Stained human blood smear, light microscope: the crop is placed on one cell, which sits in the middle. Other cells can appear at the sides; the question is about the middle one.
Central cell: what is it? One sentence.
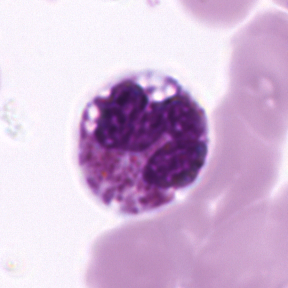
The single cell at the center of the crop is an eosinophil.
